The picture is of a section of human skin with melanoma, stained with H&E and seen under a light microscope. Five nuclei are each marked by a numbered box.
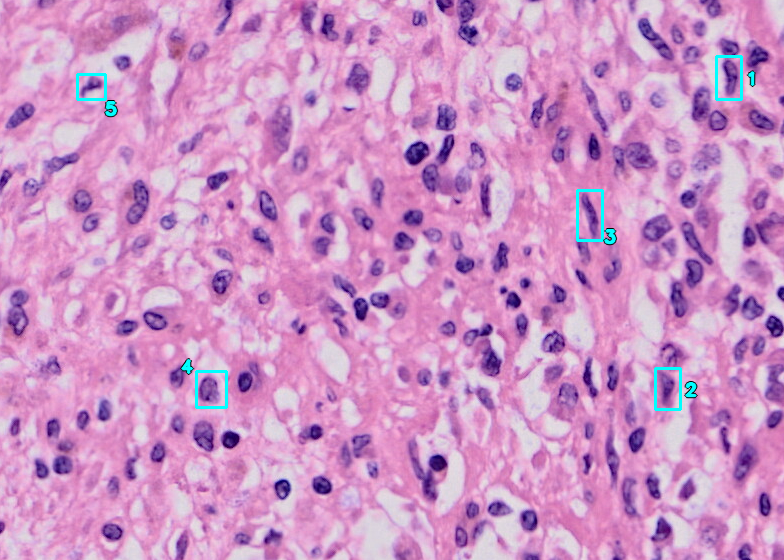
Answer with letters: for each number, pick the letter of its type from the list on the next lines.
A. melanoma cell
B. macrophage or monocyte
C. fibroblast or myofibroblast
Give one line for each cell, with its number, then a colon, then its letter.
1: B
2: B
3: C
4: B
5: C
